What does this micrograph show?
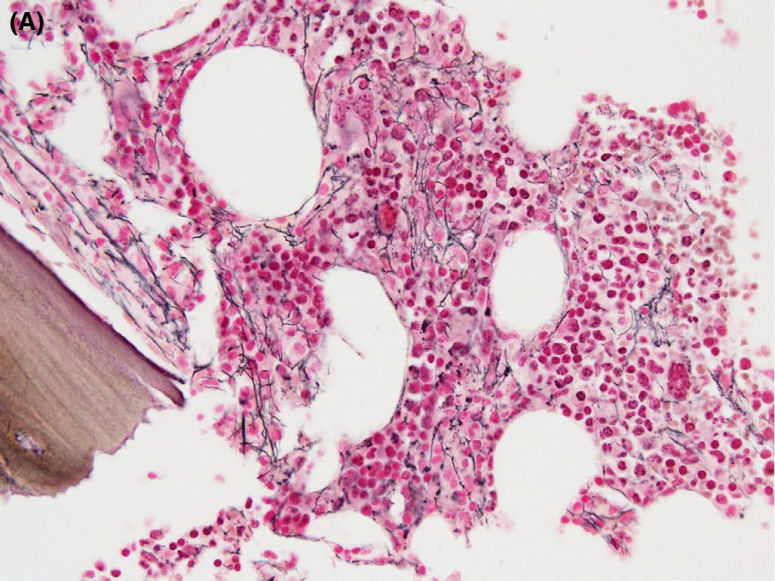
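Bone marrow core with a bony trabecula at one edge and several round empty fat spaces among densely packed hematopoietic cells. The cells have red-stained round nuclei, and a few larger cells with lobed nuclei lie scattered among them. Thin black fibers run between the cells as a loose, open branching mesh, thicker and more numerous near the bone. No dense bundles or coarse collagen bands are seen.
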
